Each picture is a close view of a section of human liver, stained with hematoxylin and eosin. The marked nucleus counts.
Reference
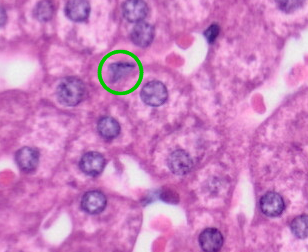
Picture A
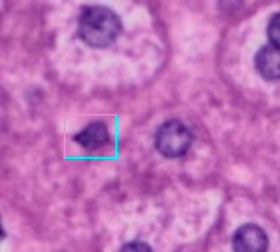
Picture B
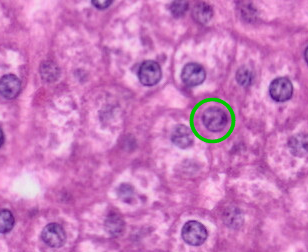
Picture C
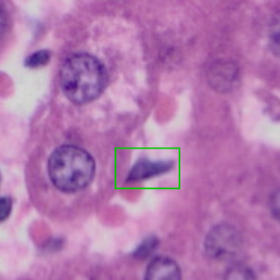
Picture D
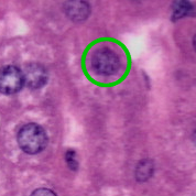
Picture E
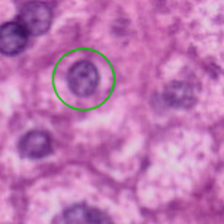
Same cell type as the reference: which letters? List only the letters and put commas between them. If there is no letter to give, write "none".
A, C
